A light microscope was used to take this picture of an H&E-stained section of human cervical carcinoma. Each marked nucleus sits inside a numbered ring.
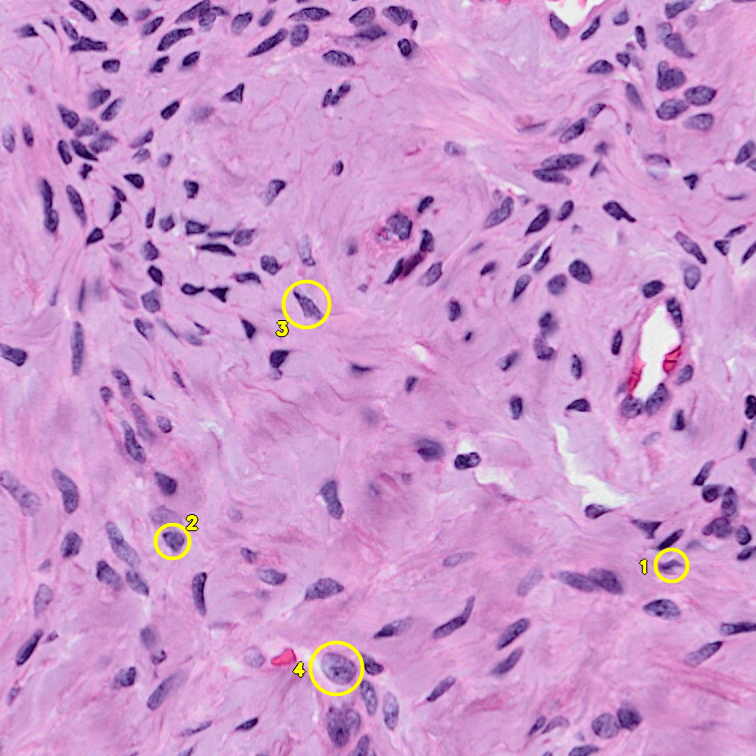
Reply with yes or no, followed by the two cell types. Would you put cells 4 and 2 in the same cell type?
No, cell 4 counts as an endothelial cell, and cell 2 counts as a fibroblast.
